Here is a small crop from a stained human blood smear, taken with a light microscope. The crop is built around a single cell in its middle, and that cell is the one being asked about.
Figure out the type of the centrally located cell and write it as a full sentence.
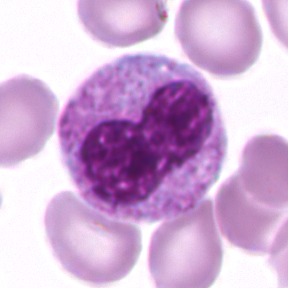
What the crop centres on is a band neutrophil.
